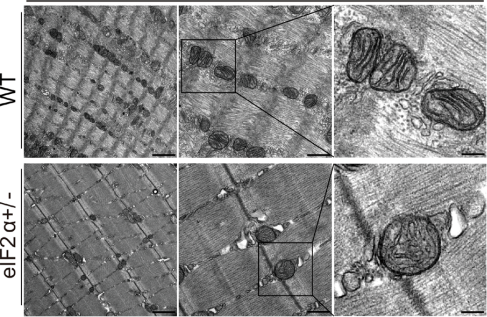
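Skeletal muscle fibres show regularly striated myofibrils with repeating sarcomere bands running across the field. Small rounded mitochondria sit in rows between the myofibrils, and at the highest magnification they show a double membrane with curved inner cristae.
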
